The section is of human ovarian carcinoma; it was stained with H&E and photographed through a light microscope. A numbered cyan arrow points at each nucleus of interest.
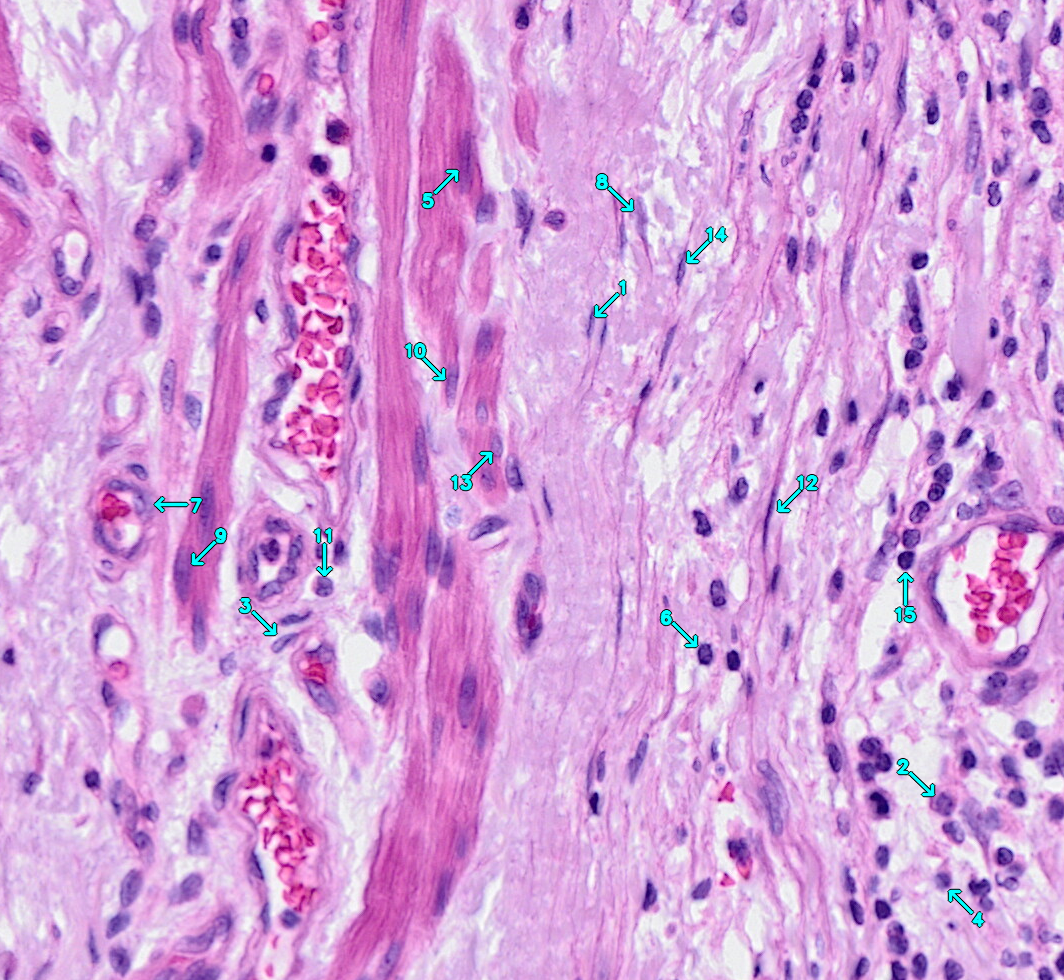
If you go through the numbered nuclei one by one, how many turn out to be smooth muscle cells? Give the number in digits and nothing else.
4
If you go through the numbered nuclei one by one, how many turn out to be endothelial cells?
1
